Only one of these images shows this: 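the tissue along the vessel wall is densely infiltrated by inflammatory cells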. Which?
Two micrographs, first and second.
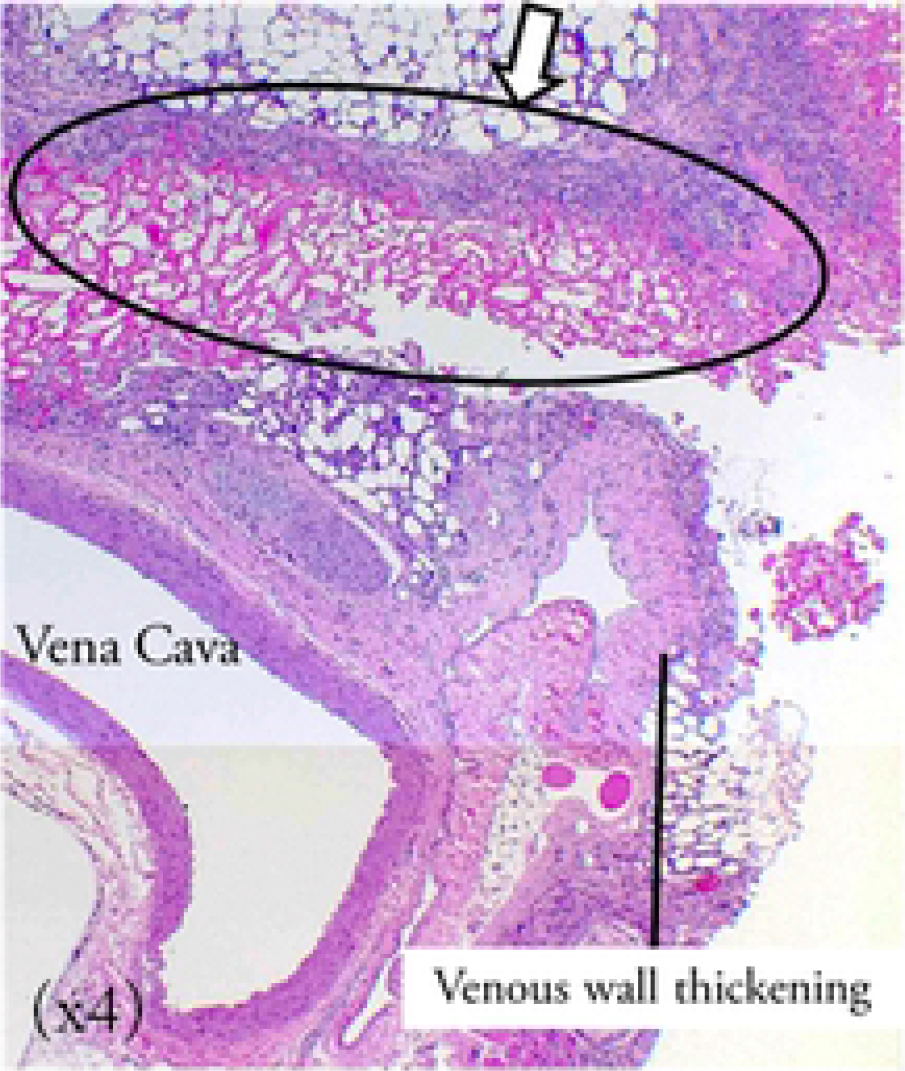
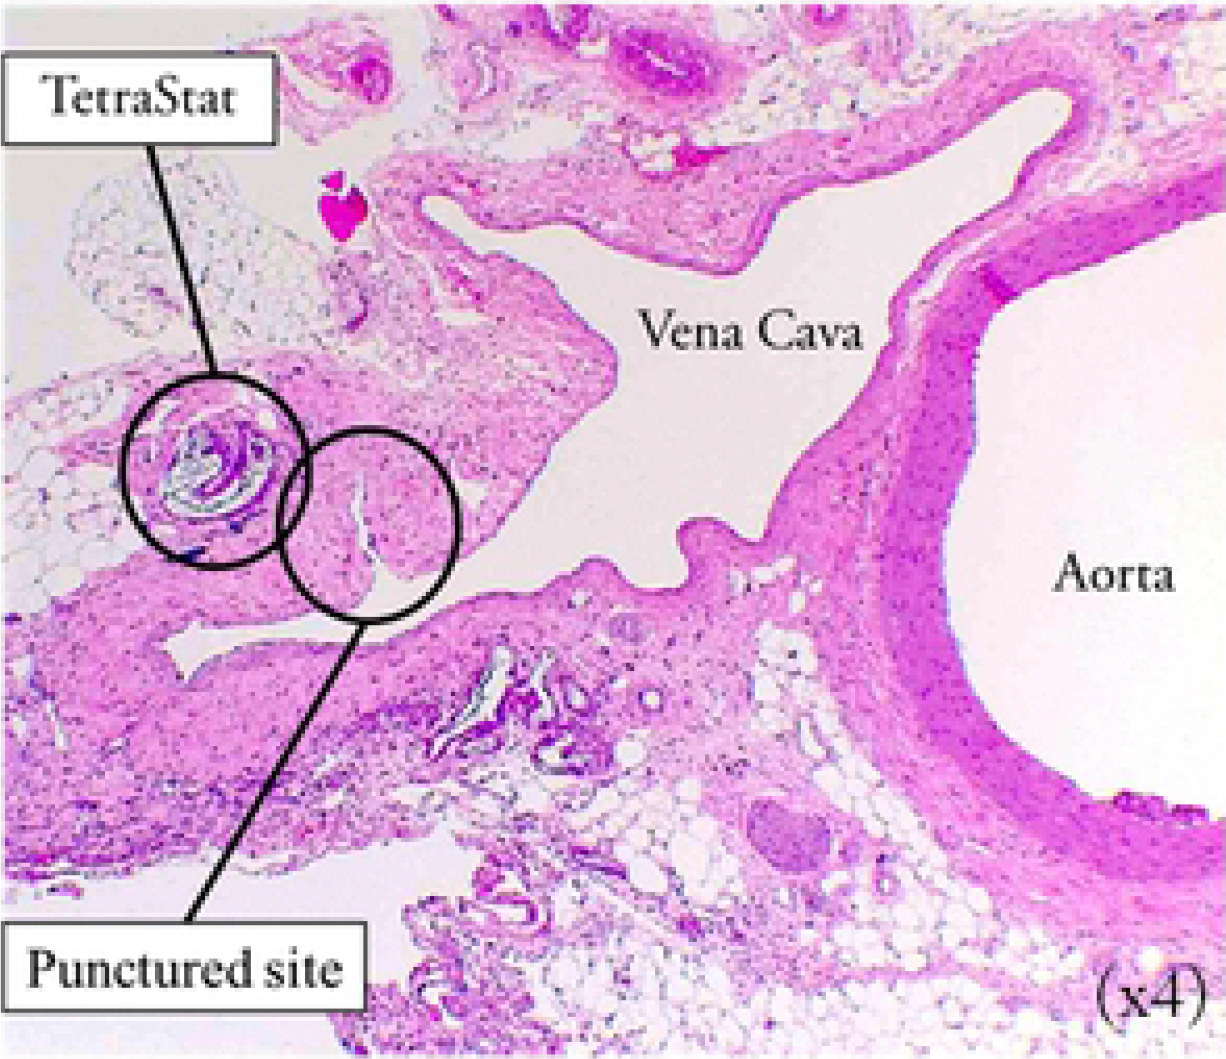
The first image.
